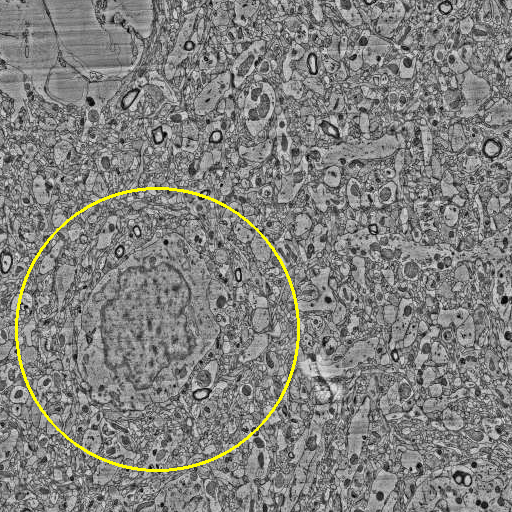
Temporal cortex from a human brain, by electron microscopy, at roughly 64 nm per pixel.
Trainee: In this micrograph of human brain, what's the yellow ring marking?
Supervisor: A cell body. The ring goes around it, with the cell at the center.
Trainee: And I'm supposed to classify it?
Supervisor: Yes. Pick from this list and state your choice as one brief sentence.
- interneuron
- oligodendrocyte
The cell at the ring's center is an interneuron.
